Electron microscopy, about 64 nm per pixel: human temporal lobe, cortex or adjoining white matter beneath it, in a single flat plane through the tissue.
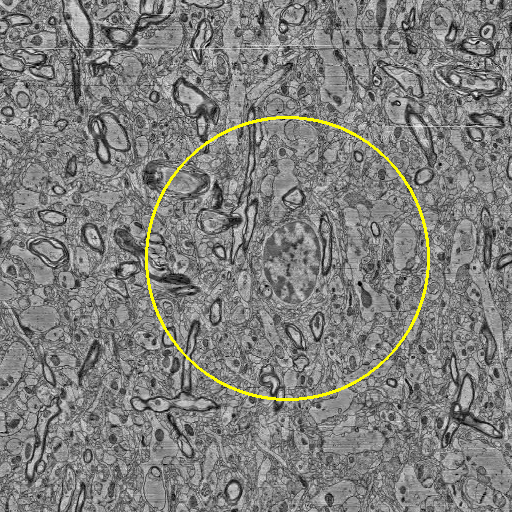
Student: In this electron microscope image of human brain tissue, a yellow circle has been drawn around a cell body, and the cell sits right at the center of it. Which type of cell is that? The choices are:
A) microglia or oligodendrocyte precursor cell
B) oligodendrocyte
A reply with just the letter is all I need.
A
